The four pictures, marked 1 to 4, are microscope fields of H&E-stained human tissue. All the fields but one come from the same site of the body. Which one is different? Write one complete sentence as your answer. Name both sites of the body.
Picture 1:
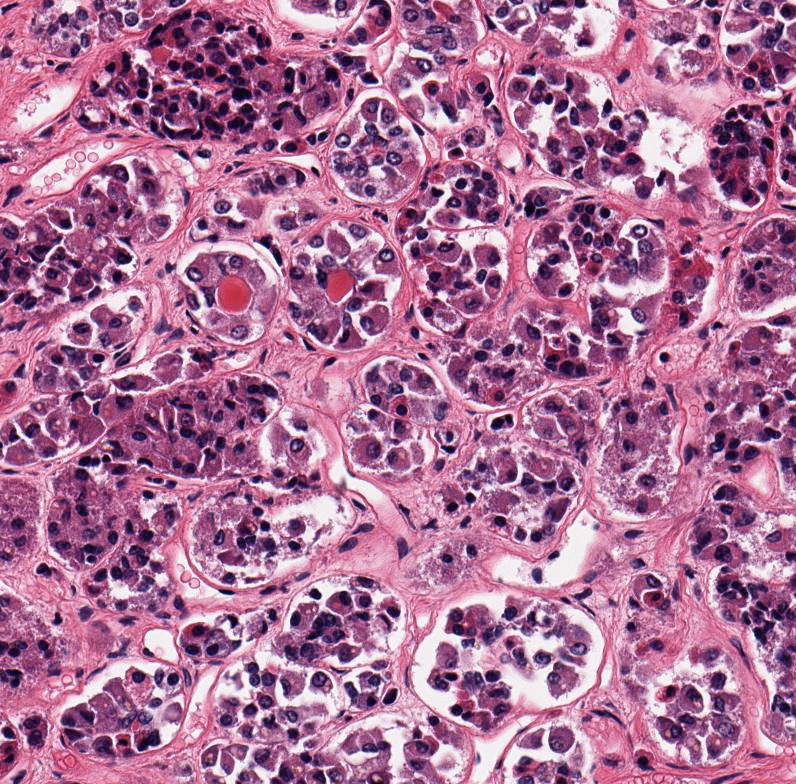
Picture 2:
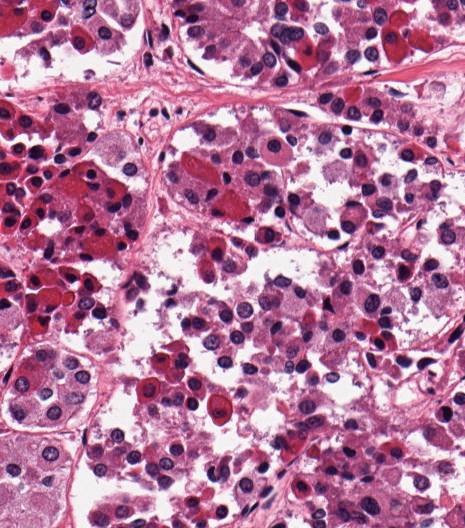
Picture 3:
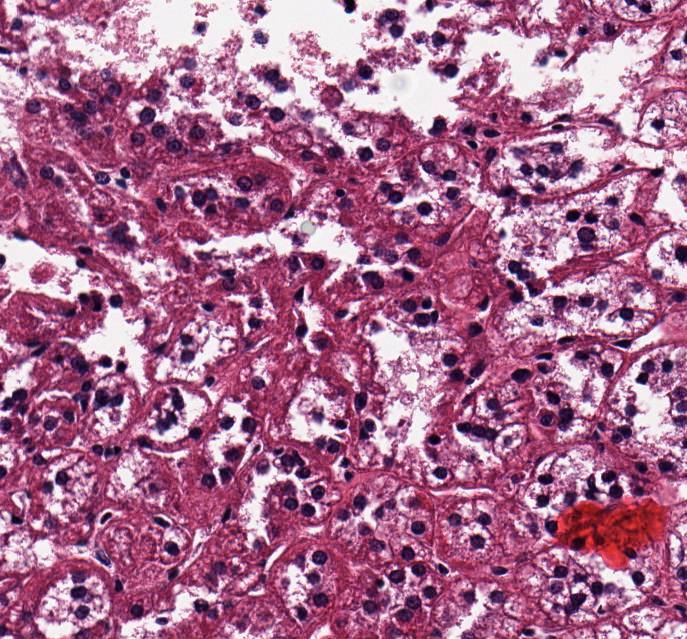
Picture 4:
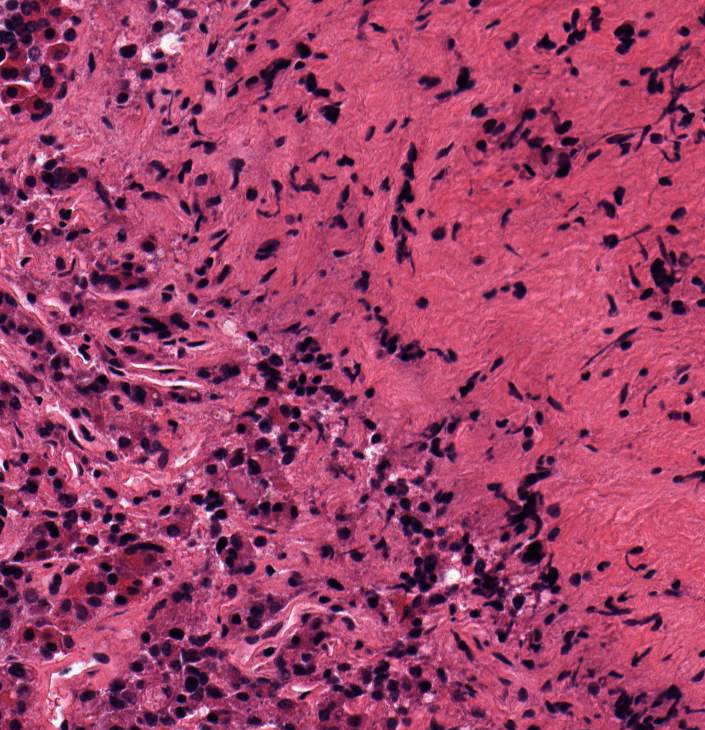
The others come from the pituitary, but picture 3 comes from the adrenal gland.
